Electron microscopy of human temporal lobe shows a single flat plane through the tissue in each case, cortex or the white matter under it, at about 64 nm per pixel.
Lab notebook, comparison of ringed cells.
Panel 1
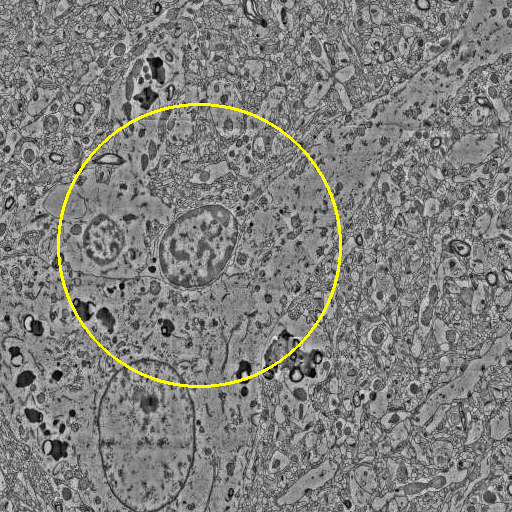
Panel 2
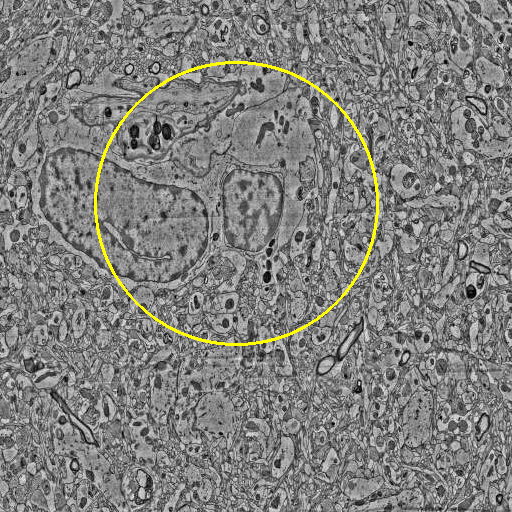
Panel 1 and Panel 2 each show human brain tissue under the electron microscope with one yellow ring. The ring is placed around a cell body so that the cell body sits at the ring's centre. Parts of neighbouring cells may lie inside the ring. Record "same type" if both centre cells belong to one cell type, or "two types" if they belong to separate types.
same type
